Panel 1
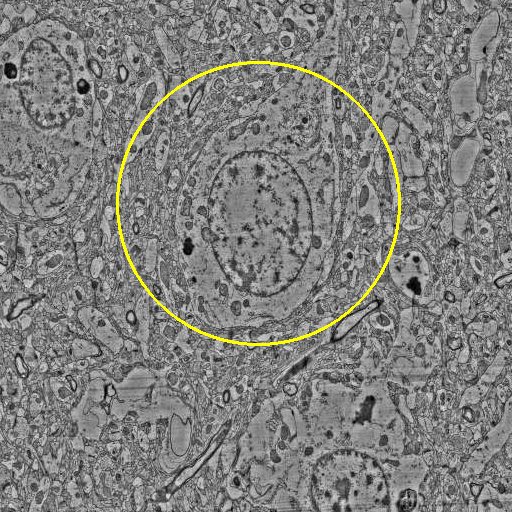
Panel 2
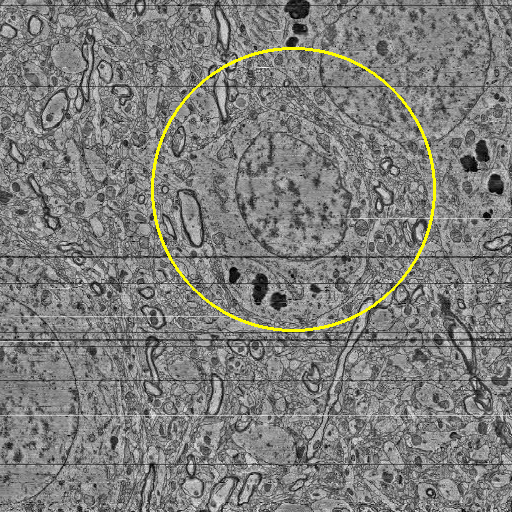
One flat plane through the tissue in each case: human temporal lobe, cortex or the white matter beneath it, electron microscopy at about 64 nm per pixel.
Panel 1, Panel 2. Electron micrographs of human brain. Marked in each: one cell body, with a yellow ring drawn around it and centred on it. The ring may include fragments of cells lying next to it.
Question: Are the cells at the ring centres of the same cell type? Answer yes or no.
yes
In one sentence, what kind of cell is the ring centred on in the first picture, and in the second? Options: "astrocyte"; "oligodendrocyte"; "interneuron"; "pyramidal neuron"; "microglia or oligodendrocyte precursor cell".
The cell in the first picture is a pyramidal neuron, and so is the one in the second.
